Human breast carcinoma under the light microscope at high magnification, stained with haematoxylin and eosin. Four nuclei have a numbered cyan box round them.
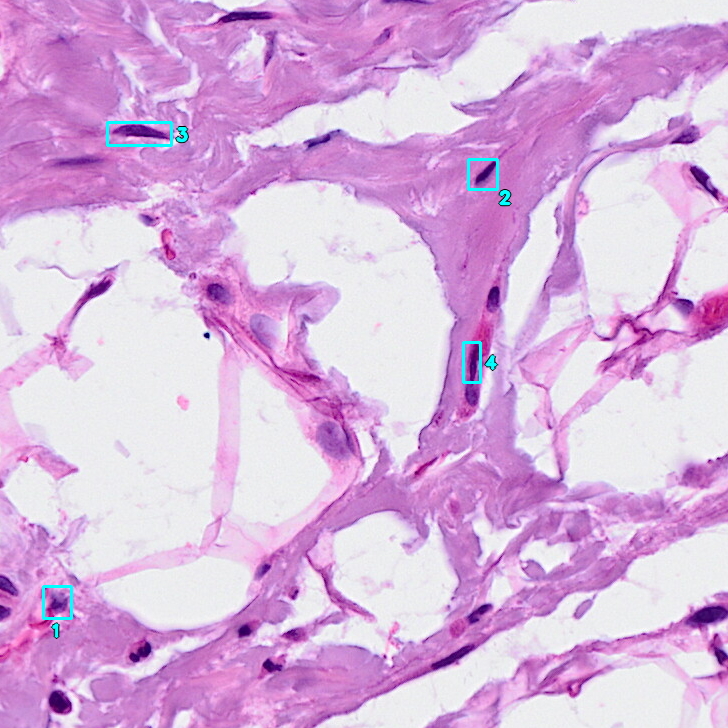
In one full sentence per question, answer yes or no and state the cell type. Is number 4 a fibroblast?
No, the cell under number 4 is an endothelial cell instead of a fibroblast.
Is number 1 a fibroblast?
No, the marked cell 1 is not a fibroblast, being instead an endothelial cell.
